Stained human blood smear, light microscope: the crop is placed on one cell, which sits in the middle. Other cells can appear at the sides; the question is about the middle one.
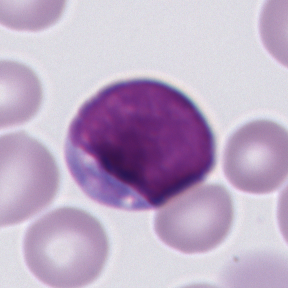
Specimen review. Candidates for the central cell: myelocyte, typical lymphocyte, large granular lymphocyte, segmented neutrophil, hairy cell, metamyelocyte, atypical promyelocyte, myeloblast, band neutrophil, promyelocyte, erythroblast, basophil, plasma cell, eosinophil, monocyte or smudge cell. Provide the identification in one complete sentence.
The centrally located cell in the crop is a large granular lymphocyte.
